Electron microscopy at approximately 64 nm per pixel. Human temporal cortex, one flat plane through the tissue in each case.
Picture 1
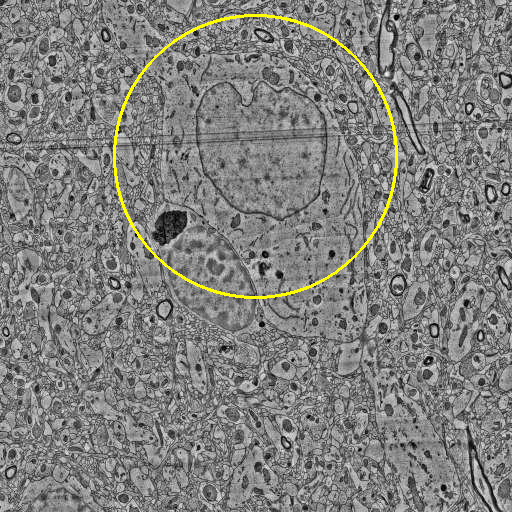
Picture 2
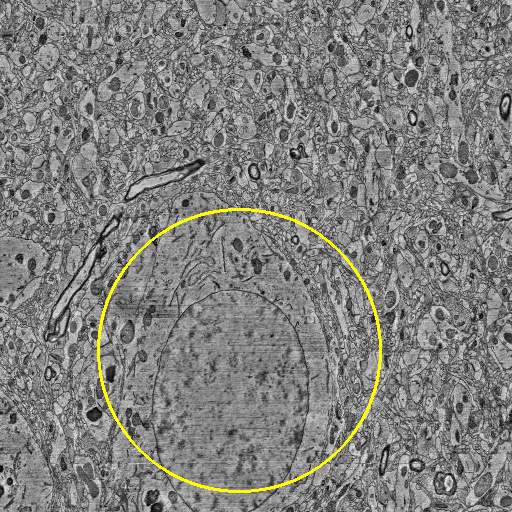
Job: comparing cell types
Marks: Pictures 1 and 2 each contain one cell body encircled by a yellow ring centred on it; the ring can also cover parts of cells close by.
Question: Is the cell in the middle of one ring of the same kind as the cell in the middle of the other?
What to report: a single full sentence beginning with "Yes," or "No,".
Yes, the cell at the ring centre in Picture 1 and its partner in Picture 2 are of one kind.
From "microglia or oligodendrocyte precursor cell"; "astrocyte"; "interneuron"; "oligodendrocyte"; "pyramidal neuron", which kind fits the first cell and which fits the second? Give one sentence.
The ring centre holds a pyramidal neuron in each of the two pictures.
